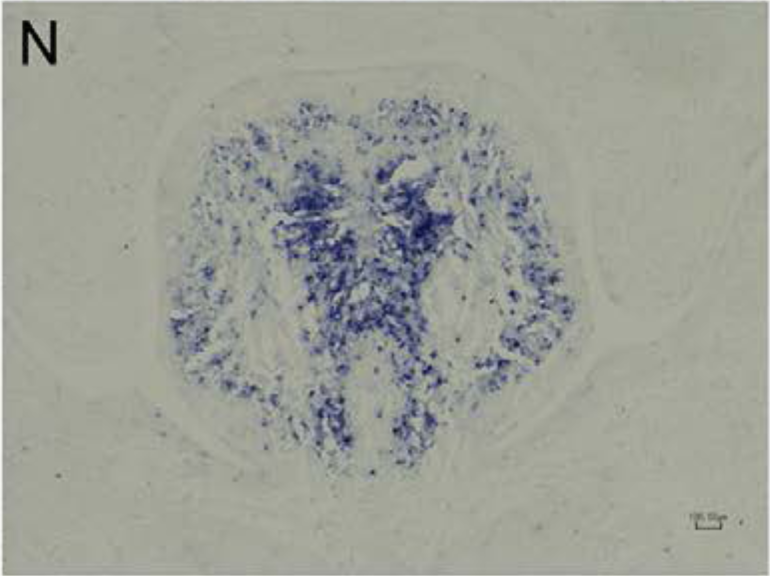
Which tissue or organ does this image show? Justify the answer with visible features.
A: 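A rounded organ in coronal section surrounded by a clear cleft. So: tongue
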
